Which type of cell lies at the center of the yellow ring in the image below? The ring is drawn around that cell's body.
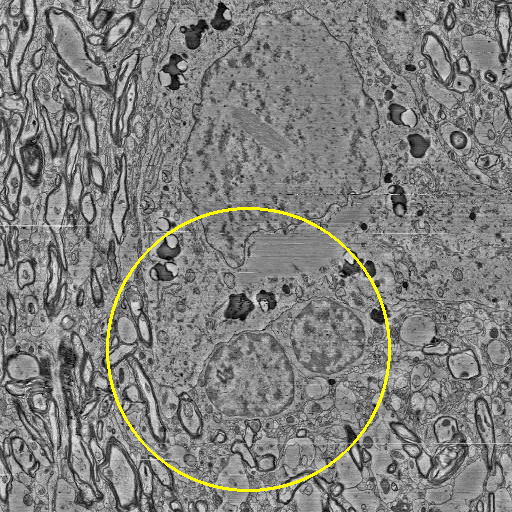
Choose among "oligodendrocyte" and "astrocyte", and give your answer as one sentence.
The cell body at the center belongs to an oligodendrocyte.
